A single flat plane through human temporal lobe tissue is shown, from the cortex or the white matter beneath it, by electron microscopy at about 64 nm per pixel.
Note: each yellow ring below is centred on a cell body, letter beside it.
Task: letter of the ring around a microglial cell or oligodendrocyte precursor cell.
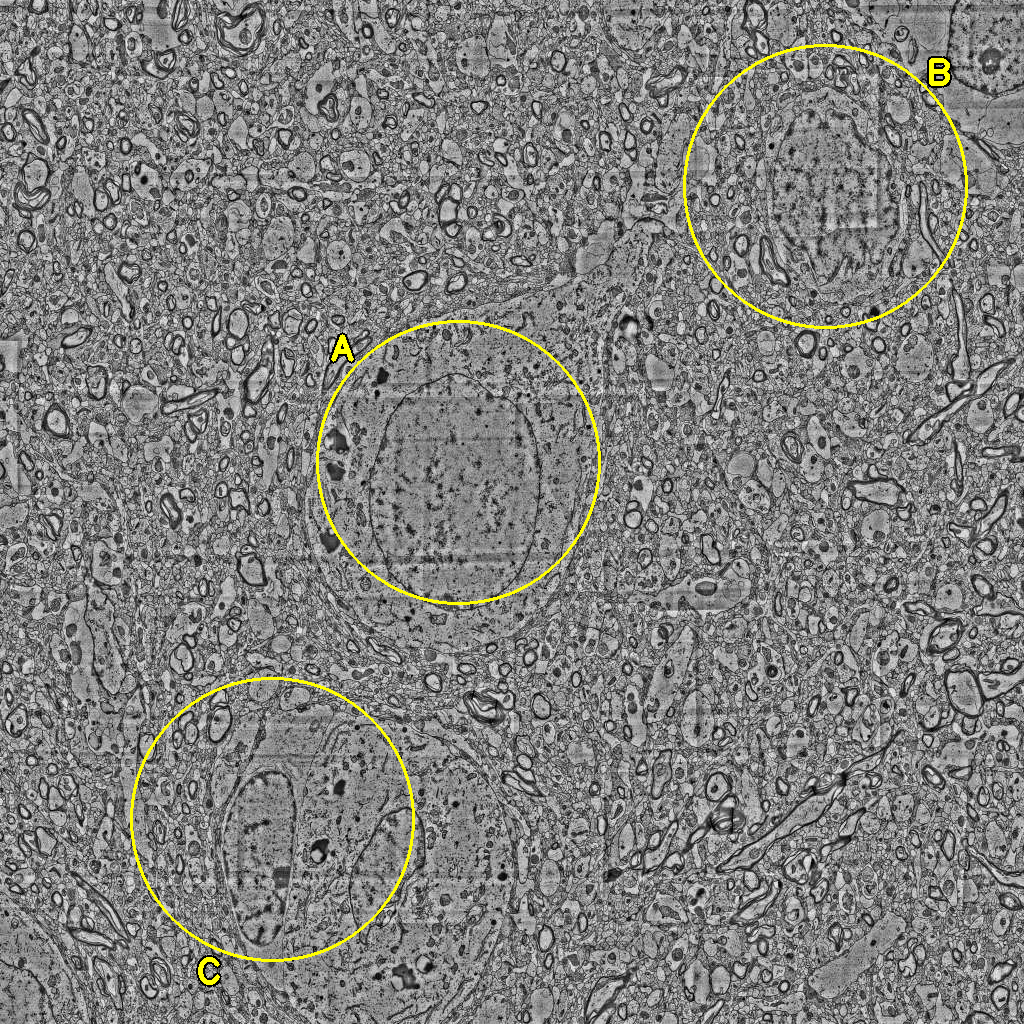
C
